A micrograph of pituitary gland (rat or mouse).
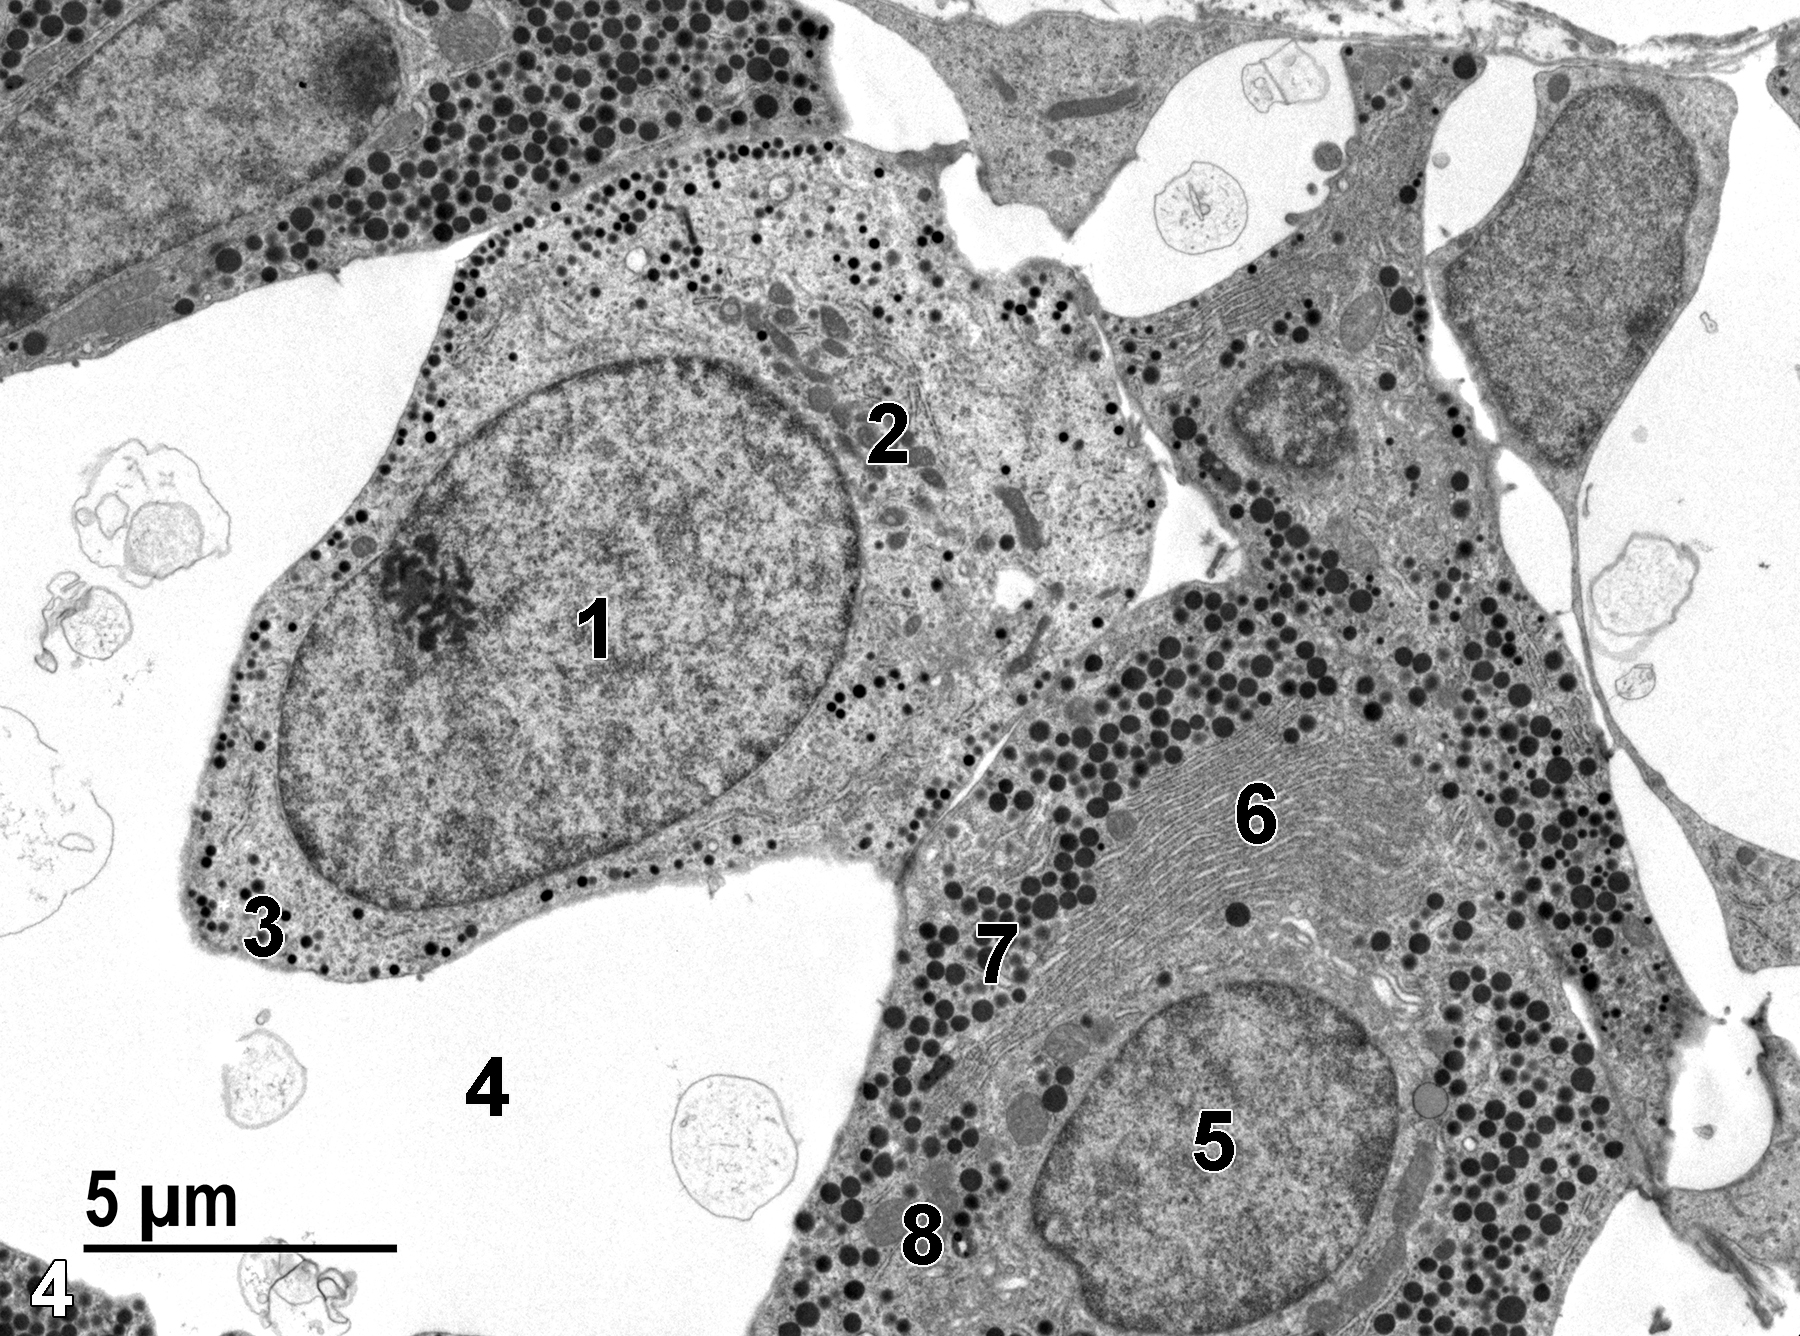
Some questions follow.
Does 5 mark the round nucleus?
Yes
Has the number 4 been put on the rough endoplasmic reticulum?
No: the intercellular space.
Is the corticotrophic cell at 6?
No, 6 marks the rough endoplasmic reticulum.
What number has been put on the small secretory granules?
It's 3.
